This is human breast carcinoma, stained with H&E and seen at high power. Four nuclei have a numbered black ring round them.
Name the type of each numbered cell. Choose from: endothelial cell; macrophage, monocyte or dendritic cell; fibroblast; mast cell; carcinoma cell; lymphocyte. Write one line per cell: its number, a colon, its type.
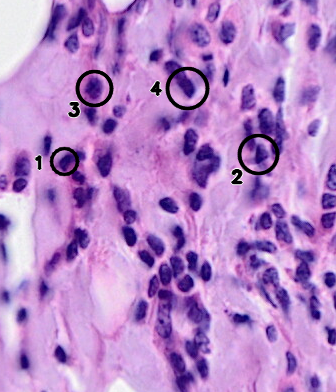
1: lymphocyte
2: lymphocyte
3: mast cell
4: lymphocyte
